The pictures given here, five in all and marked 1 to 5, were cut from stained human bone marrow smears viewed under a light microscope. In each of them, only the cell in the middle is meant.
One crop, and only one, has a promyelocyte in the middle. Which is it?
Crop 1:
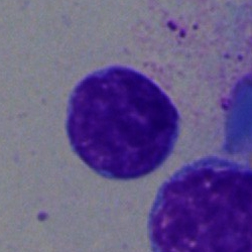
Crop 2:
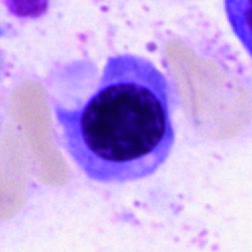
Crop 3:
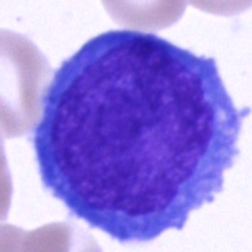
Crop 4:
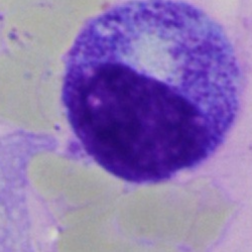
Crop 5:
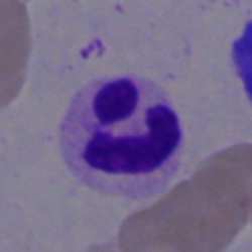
4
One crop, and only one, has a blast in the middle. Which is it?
3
